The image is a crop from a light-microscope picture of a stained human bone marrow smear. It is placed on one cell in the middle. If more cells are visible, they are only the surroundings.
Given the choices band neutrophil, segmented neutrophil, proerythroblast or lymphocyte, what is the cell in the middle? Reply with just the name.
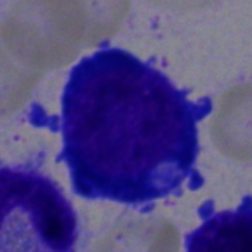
proerythroblast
